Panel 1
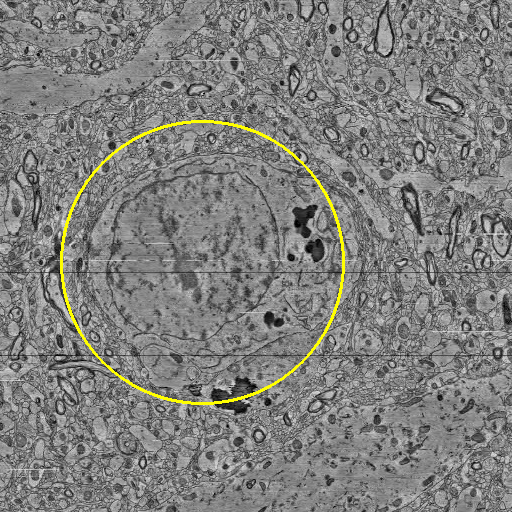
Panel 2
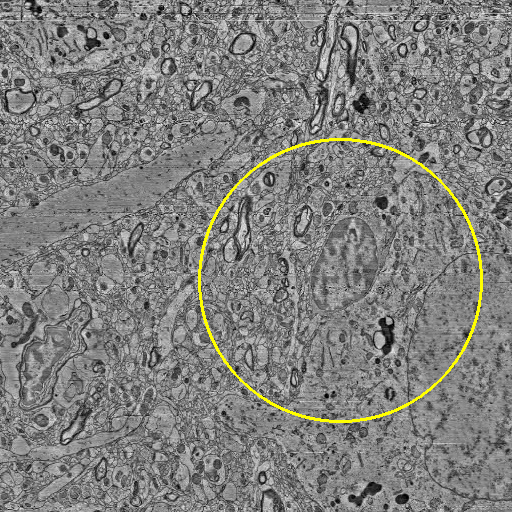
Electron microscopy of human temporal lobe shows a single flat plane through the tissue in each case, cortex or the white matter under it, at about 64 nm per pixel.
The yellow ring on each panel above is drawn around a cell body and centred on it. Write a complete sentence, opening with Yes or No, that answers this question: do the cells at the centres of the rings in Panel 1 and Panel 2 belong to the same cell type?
No, the two cells belong to two cell types.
